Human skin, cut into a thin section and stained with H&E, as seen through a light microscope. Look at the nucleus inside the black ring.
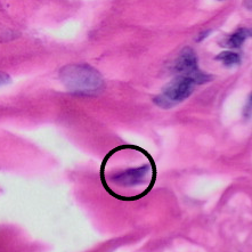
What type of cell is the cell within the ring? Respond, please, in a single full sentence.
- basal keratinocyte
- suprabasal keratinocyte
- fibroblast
At the level of cell identity, the cell within the ring is a fibroblast.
